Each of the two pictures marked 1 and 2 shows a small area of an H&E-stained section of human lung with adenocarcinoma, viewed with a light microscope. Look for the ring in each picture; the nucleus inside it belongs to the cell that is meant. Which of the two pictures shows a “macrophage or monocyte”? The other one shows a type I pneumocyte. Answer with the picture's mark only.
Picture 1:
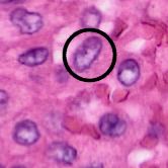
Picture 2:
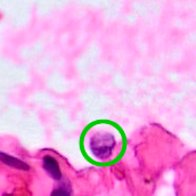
1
